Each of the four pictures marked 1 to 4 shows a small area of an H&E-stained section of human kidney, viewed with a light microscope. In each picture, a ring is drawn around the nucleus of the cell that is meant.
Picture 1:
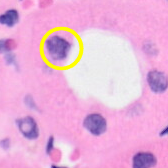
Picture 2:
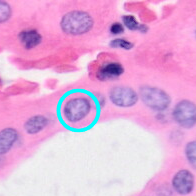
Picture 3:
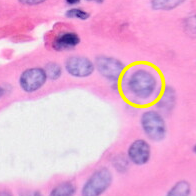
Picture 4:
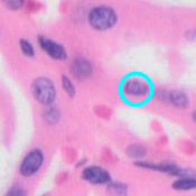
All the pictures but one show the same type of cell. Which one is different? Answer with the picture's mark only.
1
